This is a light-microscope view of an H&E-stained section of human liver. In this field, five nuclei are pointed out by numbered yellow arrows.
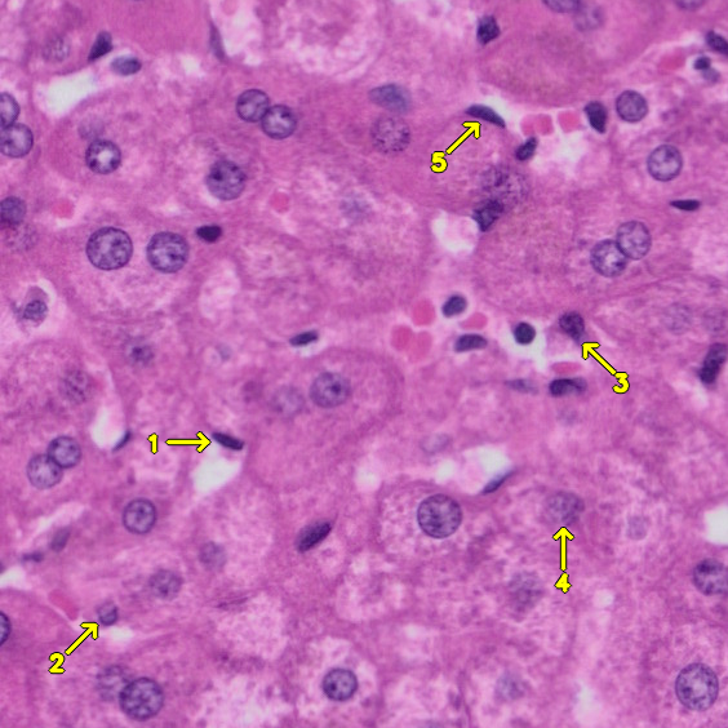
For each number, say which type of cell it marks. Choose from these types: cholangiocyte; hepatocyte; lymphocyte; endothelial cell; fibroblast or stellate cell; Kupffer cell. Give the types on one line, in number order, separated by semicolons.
endothelial cell; Kupffer cell; Kupffer cell; hepatocyte; endothelial cell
